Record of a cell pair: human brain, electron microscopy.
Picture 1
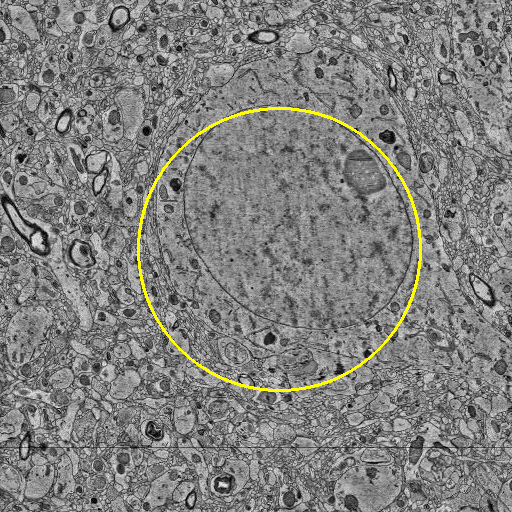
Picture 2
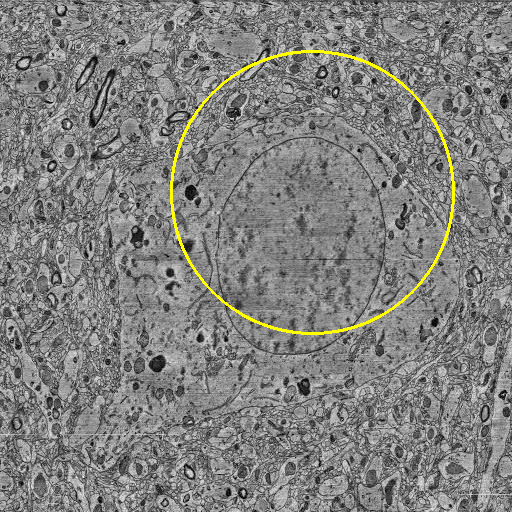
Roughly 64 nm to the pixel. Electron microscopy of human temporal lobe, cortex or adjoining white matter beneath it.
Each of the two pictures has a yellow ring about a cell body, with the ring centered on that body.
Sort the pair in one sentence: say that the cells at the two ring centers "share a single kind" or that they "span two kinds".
The cells centered in the rings of Pictures 1 and 2 share a single kind.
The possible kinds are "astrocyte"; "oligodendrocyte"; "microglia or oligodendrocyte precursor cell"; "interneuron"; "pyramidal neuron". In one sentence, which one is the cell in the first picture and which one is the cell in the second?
In each picture the ringed cell is a pyramidal neuron.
